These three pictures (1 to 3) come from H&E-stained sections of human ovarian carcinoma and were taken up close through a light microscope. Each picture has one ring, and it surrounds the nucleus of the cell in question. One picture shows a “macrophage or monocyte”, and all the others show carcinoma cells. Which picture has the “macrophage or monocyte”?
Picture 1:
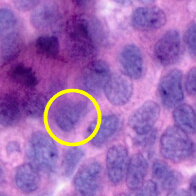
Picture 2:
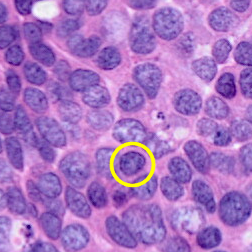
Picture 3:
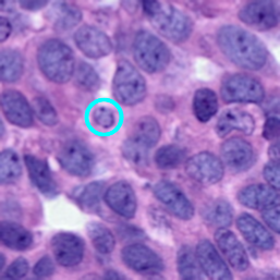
3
